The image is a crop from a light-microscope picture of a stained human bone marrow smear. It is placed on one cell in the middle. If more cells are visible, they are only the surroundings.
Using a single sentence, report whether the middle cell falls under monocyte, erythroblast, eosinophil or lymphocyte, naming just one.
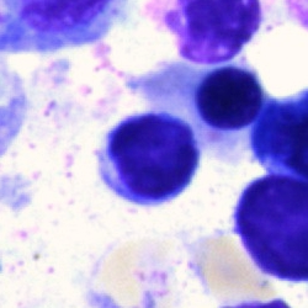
The crop centres on a single cell, and that cell is a lymphocyte.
